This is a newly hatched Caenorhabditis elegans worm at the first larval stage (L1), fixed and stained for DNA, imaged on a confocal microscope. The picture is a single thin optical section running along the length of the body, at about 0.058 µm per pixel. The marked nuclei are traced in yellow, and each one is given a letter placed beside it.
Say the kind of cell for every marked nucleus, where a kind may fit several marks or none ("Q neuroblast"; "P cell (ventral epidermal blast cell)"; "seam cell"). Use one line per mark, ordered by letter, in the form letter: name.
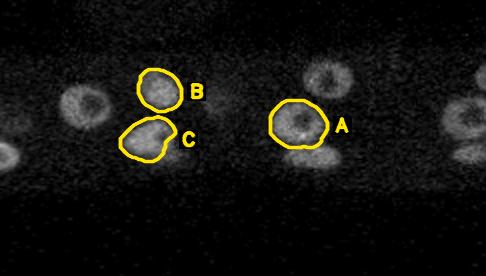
A: seam cell
B: Q neuroblast
C: P cell (ventral epidermal blast cell)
